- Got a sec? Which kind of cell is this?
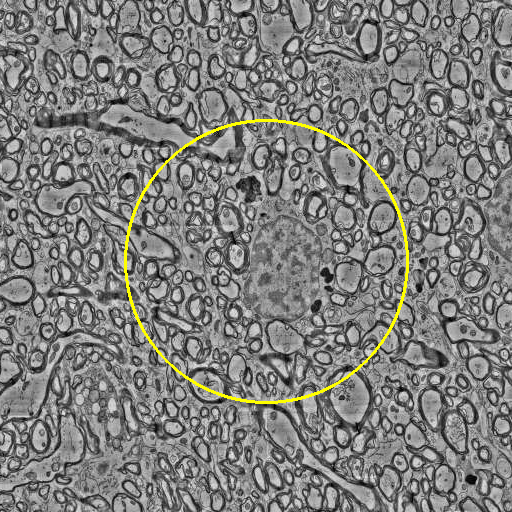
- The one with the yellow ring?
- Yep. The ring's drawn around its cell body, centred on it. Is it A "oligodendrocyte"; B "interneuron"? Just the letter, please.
A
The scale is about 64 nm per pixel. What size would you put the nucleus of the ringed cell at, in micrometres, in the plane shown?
Roughly 7 micrometres by 5 micrometres, in this plane.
